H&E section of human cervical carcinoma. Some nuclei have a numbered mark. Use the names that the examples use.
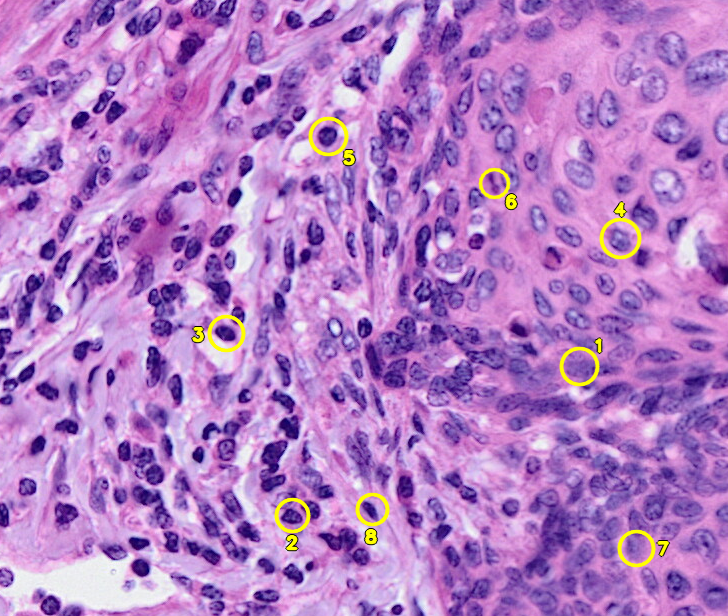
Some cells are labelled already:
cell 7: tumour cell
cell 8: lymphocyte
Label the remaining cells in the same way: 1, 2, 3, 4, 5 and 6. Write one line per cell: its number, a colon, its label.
1: tumour cell
2: lymphocyte
3: lymphocyte
4: tumour cell
5: lymphocyte
6: tumour cell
